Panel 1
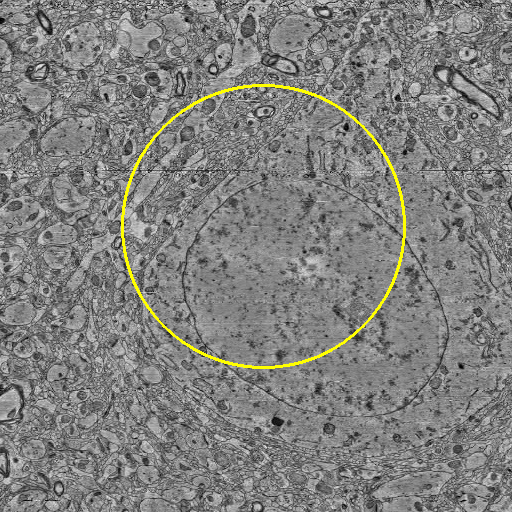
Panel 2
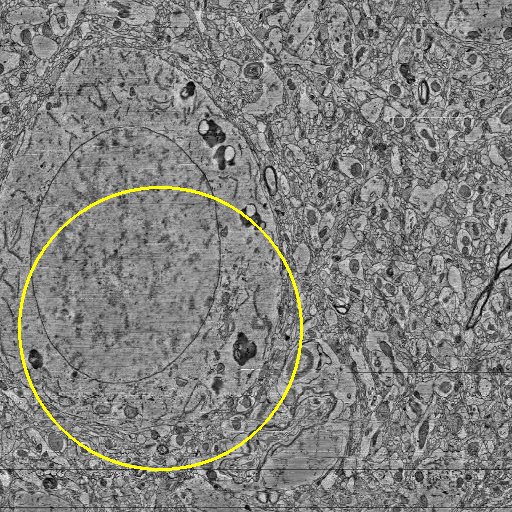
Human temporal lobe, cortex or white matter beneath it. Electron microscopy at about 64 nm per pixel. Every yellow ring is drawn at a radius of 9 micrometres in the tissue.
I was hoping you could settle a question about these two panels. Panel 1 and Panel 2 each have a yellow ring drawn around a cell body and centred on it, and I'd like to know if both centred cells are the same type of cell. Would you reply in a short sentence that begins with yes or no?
Yes, both are the same type of cell.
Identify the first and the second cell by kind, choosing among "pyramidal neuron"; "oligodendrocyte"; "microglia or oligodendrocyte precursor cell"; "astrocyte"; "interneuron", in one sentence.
The ring centre holds a pyramidal neuron in each of the two pictures.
